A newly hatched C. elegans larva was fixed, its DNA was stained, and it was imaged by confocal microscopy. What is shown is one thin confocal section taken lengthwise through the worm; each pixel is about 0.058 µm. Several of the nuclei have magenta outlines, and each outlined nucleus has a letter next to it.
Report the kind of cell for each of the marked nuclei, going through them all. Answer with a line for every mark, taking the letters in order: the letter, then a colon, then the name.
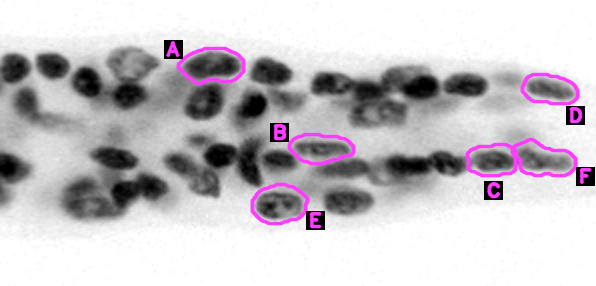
A: hypodermal cell (hyp)
B: pharyngeal muscle cell
C: pharyngeal muscle cell
D: hypodermal cell (hyp)
E: body wall muscle cell
F: hypodermal cell (hyp)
